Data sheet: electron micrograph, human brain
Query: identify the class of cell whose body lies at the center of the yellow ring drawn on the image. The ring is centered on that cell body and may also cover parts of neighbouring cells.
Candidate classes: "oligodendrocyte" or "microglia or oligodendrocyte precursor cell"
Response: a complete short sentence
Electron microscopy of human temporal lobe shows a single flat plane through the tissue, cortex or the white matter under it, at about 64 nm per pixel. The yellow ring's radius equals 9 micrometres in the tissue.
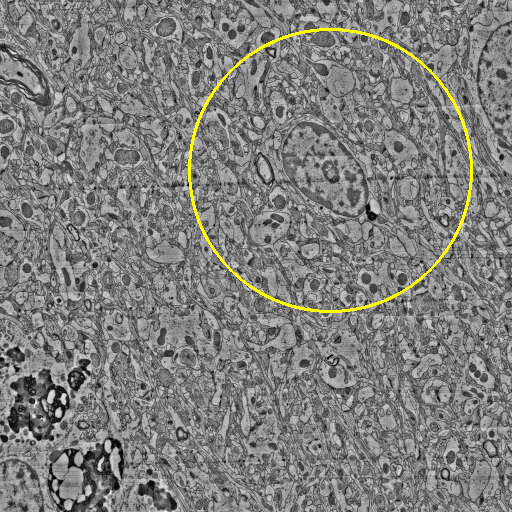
At the center of the ring lies a microglial cell or oligodendrocyte precursor cell.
